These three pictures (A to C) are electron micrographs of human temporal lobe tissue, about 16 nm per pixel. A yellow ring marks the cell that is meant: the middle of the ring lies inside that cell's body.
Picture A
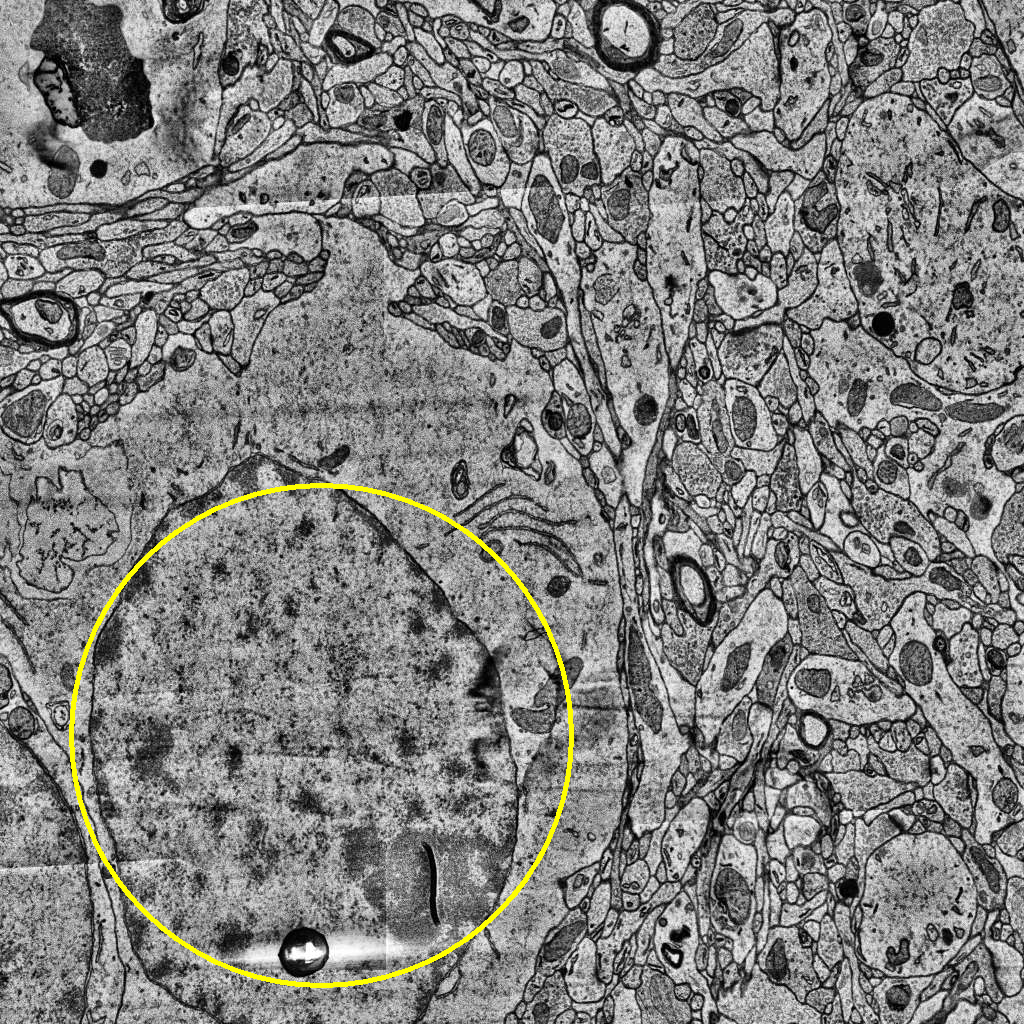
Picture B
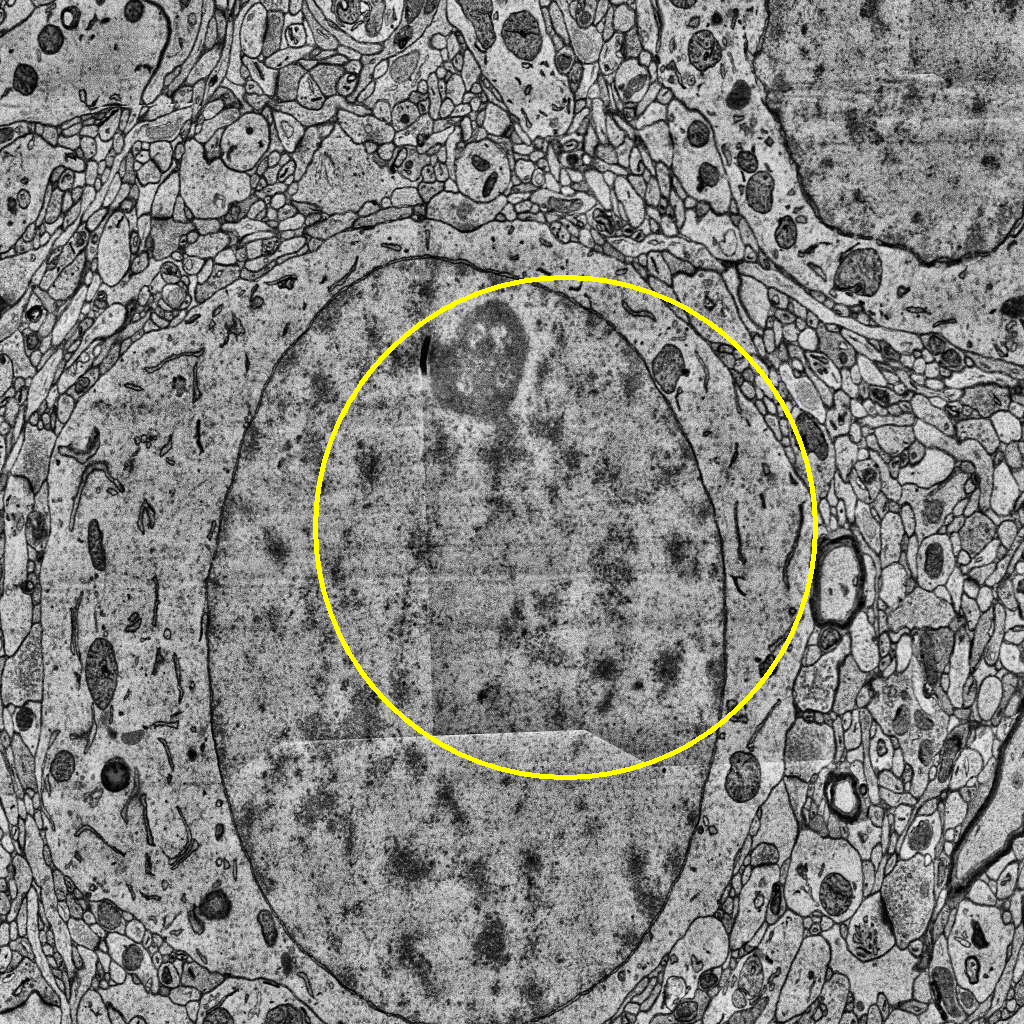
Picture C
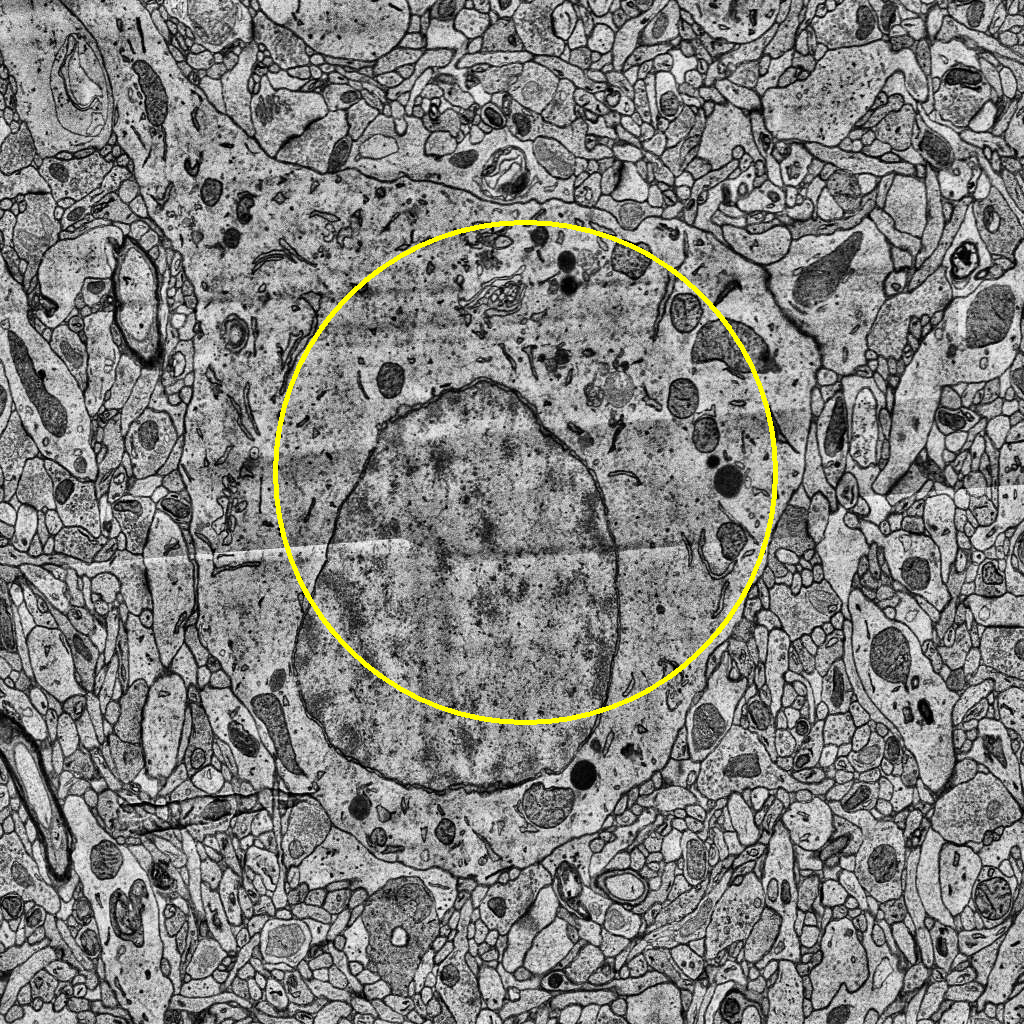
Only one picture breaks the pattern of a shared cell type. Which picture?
Picture A is the odd one out: it shows an astrocyte, while the others show pyramidal neurons.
